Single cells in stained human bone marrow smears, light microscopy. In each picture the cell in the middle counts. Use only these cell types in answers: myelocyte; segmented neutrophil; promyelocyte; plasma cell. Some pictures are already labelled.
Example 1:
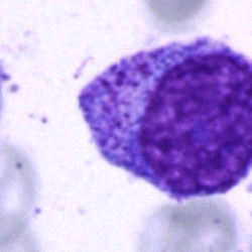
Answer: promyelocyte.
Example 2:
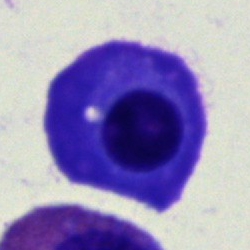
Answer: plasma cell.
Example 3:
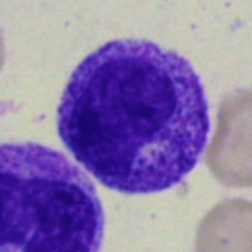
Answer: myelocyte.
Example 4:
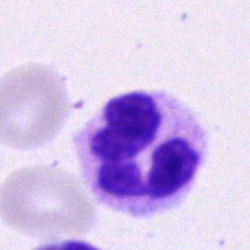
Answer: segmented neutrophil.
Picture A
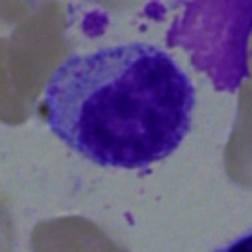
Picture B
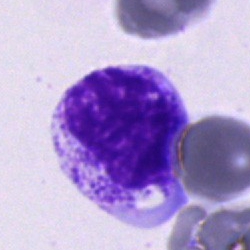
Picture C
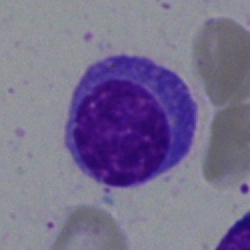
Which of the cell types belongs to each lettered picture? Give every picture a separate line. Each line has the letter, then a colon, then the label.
A: myelocyte.
B: myelocyte.
C: plasma cell.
